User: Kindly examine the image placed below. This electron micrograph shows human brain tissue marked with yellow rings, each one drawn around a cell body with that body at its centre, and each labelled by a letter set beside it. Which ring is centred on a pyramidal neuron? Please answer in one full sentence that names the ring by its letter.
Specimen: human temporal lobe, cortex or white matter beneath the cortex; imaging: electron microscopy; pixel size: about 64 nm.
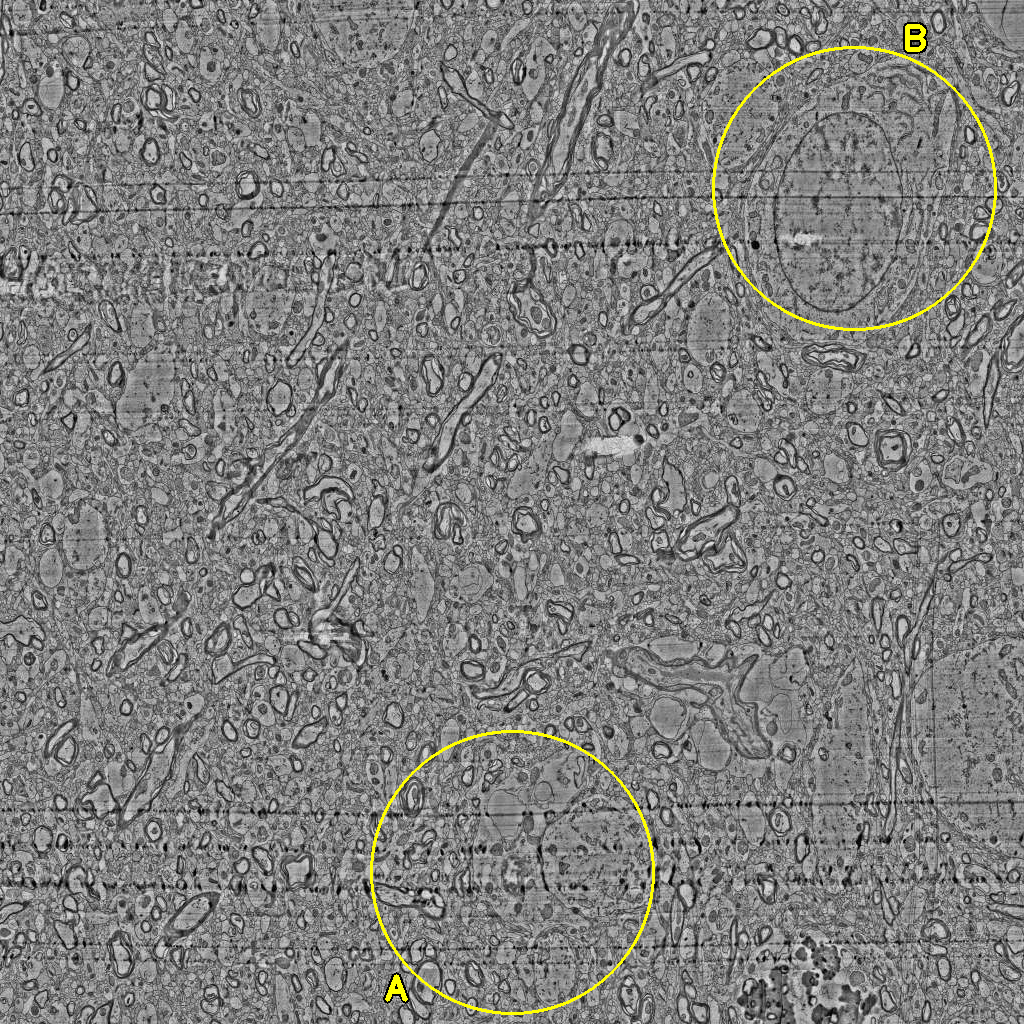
Ring B is the one drawn around the cell asked for.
